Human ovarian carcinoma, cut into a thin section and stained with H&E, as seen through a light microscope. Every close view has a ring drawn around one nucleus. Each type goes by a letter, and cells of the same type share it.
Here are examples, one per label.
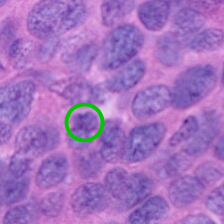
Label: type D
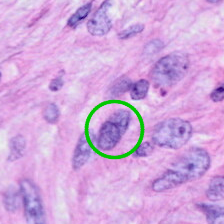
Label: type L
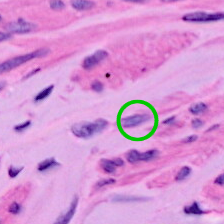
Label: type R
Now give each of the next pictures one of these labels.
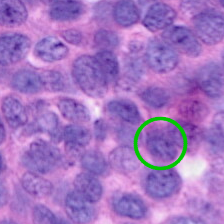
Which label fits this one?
type D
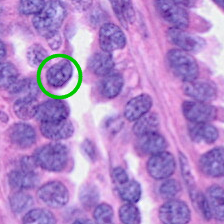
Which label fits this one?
type D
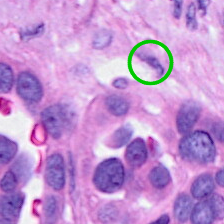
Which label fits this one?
type L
